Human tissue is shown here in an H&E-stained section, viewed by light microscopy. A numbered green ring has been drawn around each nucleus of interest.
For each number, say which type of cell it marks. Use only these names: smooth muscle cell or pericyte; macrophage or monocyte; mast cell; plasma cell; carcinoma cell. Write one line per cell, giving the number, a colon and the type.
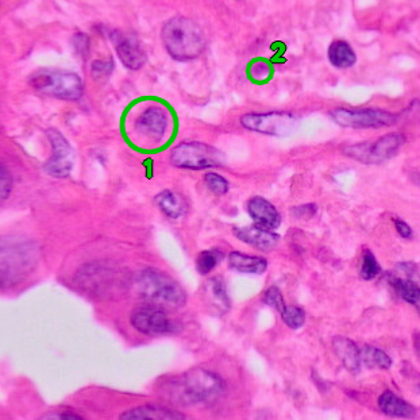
1: mast cell
2: macrophage or monocyte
